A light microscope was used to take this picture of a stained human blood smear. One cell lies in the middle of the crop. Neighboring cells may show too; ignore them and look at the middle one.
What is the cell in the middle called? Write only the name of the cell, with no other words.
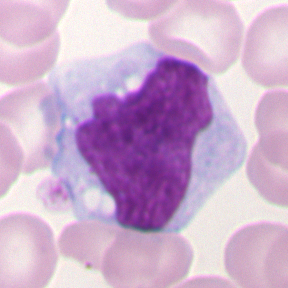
monocyte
